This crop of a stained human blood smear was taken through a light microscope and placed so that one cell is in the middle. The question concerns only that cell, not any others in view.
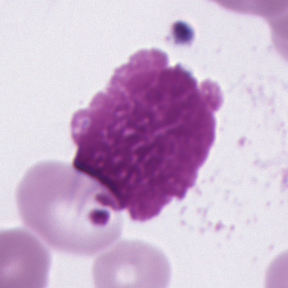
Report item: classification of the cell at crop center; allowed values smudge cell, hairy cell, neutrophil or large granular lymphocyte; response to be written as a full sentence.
For this crop, the cell in the middle is a smudge cell.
